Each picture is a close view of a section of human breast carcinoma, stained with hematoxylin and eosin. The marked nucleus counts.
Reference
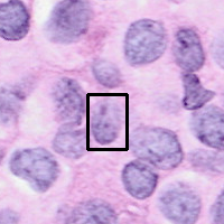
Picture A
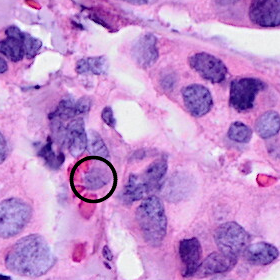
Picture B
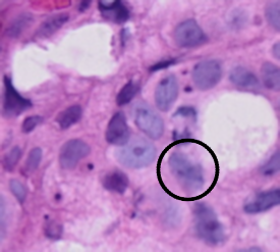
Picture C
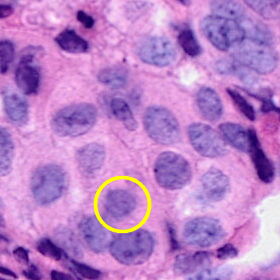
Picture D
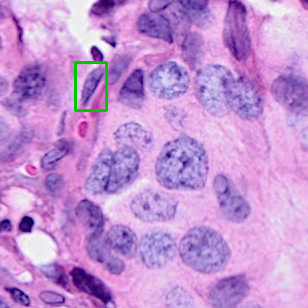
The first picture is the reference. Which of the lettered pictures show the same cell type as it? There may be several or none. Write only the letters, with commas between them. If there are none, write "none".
B, C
